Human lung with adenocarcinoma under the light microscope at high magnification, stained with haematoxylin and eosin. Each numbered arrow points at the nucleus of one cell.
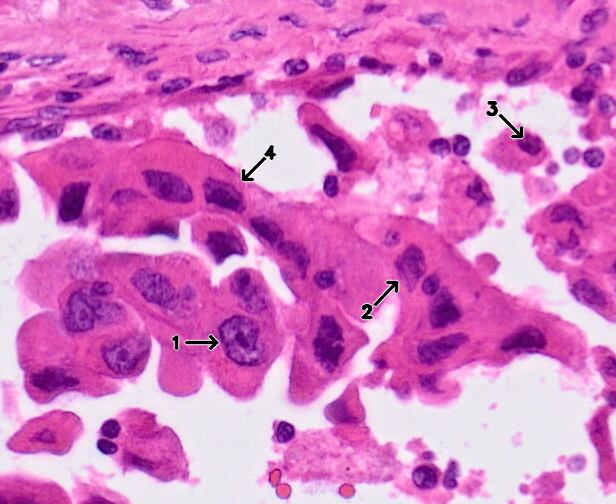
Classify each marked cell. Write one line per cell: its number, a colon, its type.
1: carcinoma cell
2: carcinoma cell
3: macrophage or monocyte
4: carcinoma cell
